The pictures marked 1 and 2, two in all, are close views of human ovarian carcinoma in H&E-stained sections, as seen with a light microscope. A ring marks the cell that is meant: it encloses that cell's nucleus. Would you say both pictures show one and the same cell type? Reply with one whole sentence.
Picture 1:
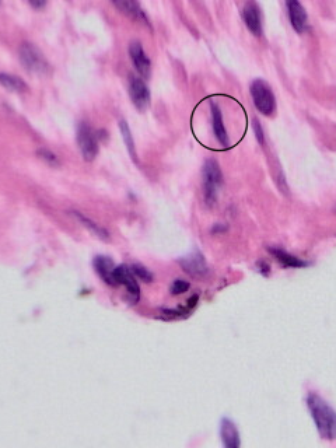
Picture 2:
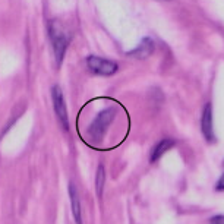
Yes, the two pictures both show fibroblasts.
